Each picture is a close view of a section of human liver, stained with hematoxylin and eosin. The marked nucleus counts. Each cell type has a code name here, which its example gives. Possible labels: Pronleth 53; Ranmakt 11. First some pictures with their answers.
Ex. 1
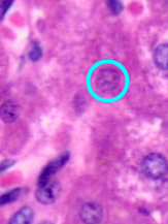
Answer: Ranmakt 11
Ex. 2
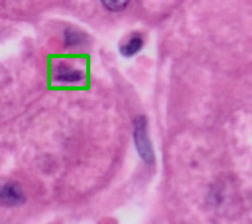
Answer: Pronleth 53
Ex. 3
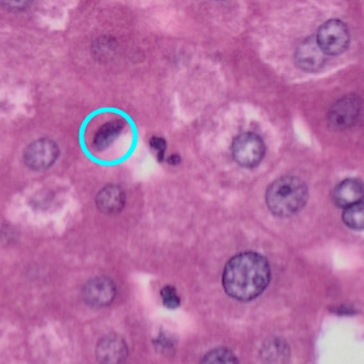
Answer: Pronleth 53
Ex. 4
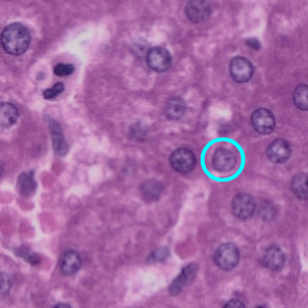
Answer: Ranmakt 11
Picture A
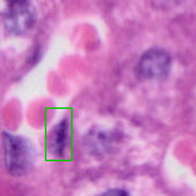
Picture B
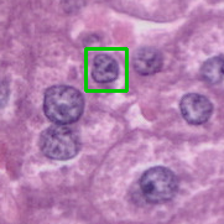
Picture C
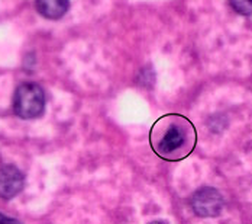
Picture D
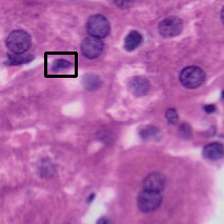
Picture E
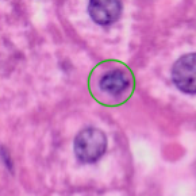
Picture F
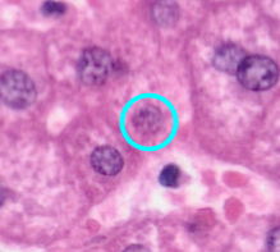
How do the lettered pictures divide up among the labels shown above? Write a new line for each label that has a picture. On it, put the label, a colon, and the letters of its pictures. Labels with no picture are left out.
Pronleth 53: A, C, D, E
Ranmakt 11: B, F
